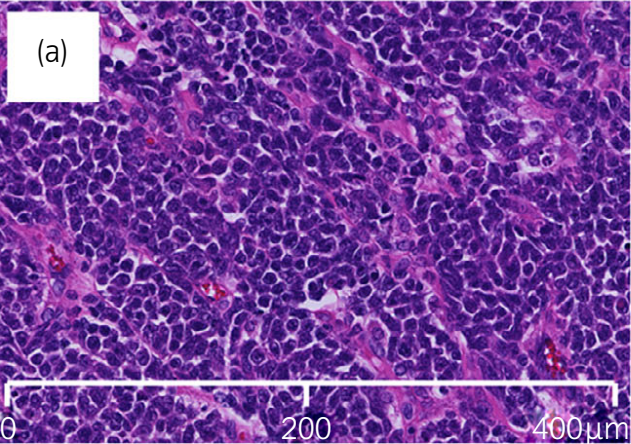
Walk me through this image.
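Tumor tissue made of densely packed small cells arranged in solid sheets. The nuclei are dark purple, round to polygonal, and occupy most of each cell, leaving scant pale cytoplasm. Thin pink fibrovascular strands containing small vessels with red blood cells run between the sheets.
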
